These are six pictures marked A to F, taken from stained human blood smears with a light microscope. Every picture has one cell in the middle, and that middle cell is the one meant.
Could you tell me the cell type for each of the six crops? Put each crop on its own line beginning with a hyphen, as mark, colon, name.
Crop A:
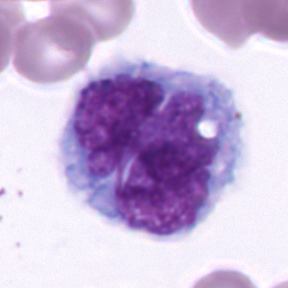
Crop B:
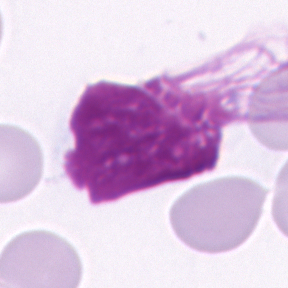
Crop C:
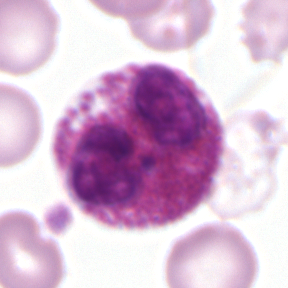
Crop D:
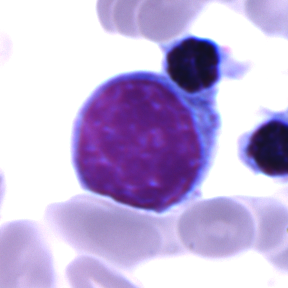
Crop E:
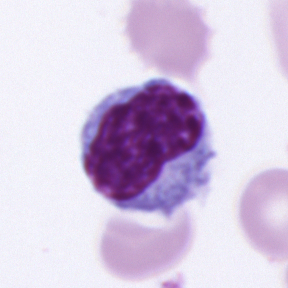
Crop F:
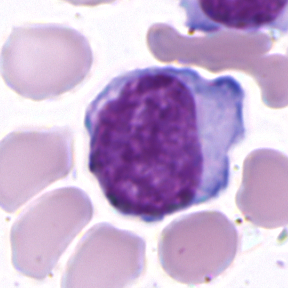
- A: monocyte
- B: smudge cell
- C: eosinophil
- D: typical lymphocyte
- E: typical lymphocyte
- F: plasma cell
